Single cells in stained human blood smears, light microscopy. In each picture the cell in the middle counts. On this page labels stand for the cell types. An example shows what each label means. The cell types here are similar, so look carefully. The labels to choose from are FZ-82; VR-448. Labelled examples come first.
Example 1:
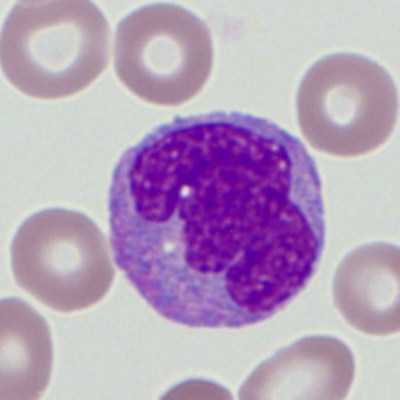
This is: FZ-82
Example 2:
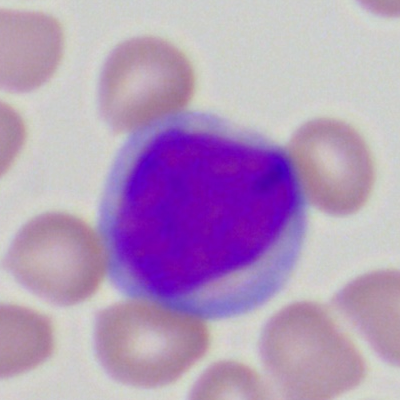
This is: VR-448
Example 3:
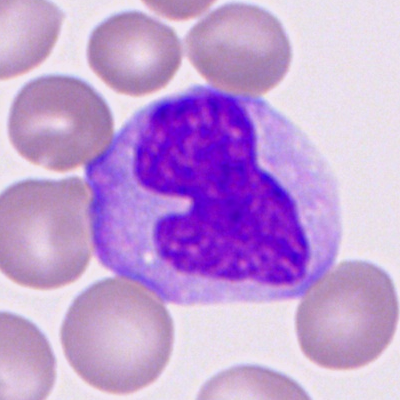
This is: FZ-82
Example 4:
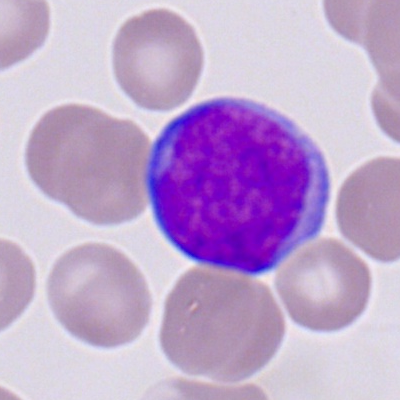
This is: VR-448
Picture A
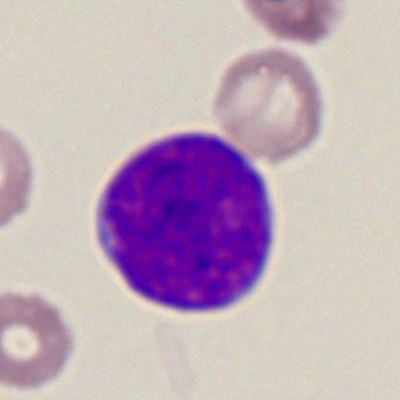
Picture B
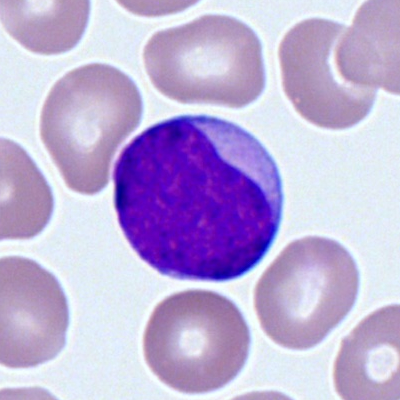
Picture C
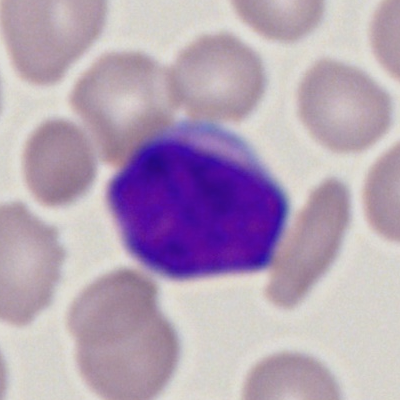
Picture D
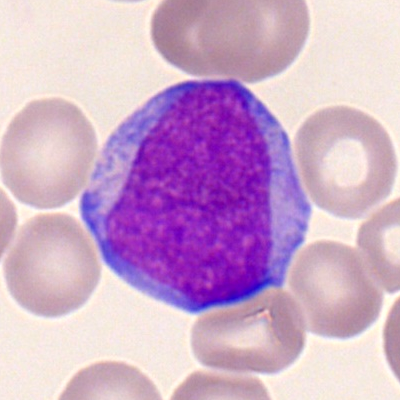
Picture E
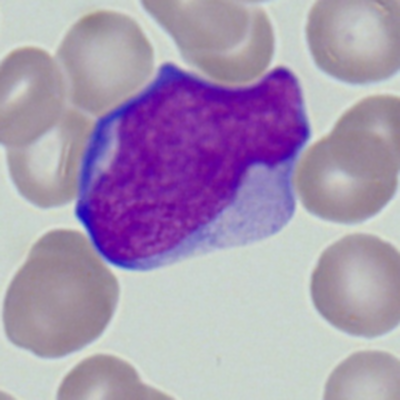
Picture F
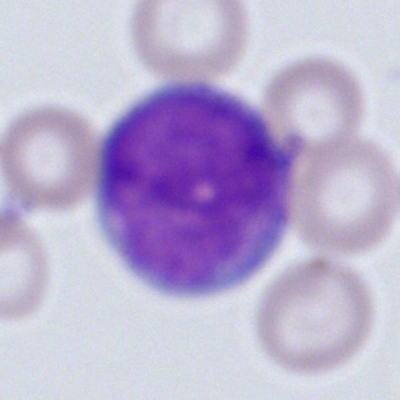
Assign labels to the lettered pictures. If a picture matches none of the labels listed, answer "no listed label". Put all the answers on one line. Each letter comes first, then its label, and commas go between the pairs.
A VR-448, B VR-448, C VR-448, D VR-448, E VR-448, F VR-448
